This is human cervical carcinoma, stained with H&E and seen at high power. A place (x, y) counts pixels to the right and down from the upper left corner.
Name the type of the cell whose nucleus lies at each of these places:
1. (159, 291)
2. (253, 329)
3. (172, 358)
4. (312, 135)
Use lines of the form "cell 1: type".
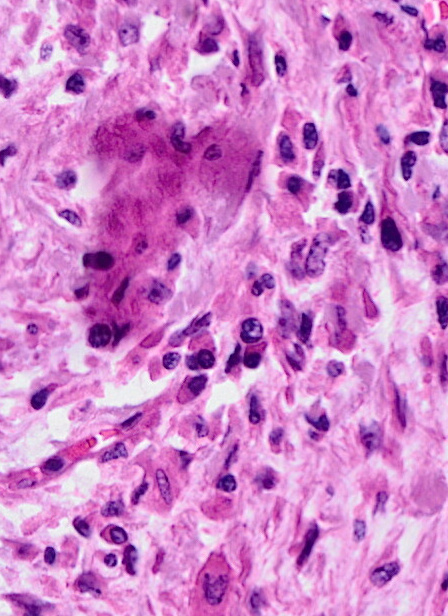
cell 1: macrophage or monocyte
cell 2: lymphocyte
cell 3: lymphocyte
cell 4: lymphocyte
